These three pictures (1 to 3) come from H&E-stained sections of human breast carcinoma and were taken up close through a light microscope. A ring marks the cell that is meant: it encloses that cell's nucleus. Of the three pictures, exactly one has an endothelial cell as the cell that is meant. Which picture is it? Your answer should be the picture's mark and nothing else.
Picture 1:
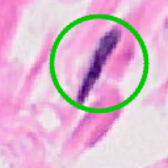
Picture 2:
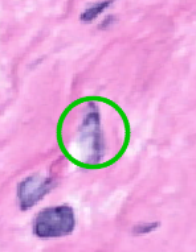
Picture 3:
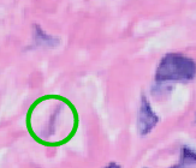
2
